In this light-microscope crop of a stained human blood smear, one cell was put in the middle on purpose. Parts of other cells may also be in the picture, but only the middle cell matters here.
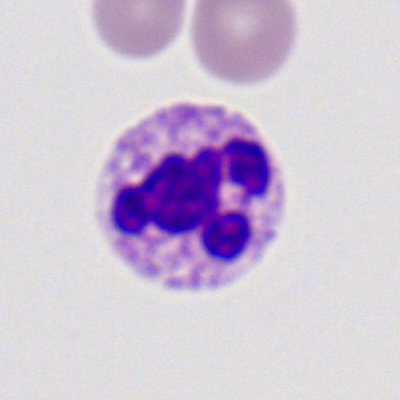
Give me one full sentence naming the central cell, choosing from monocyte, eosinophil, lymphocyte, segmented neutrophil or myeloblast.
The center cell of this crop is a segmented neutrophil.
